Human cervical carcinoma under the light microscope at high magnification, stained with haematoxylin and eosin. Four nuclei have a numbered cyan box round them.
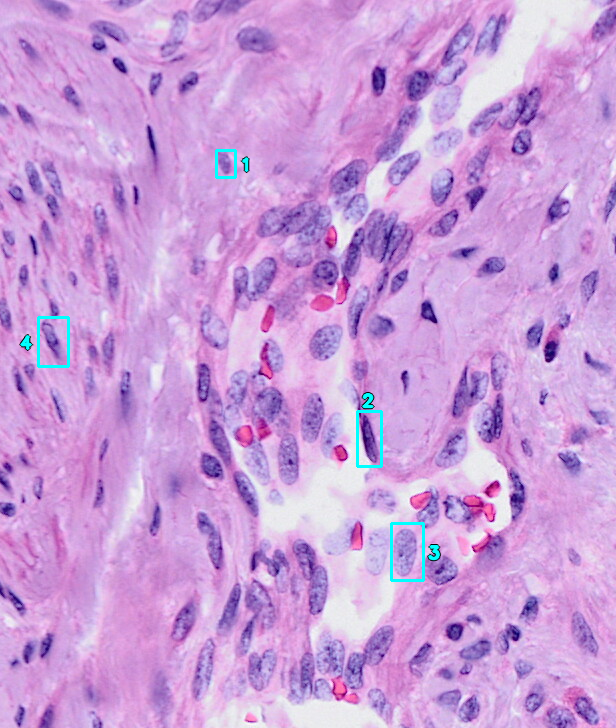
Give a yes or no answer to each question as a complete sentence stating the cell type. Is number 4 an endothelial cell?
No, in terms of cell type, cell 4 is a smooth muscle cell, not an endothelial cell.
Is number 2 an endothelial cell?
Yes, for number 2, the cell is an endothelial cell.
